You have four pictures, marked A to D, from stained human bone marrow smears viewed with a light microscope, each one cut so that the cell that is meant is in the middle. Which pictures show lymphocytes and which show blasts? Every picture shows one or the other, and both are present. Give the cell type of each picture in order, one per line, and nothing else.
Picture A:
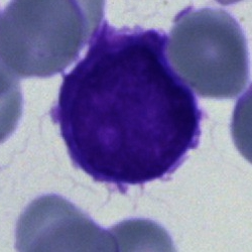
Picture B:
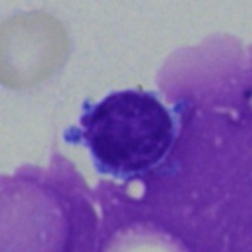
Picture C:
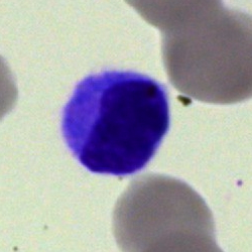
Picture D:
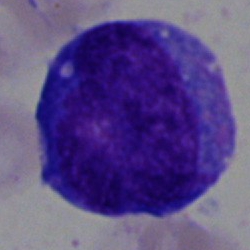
blast
lymphocyte
lymphocyte
blast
